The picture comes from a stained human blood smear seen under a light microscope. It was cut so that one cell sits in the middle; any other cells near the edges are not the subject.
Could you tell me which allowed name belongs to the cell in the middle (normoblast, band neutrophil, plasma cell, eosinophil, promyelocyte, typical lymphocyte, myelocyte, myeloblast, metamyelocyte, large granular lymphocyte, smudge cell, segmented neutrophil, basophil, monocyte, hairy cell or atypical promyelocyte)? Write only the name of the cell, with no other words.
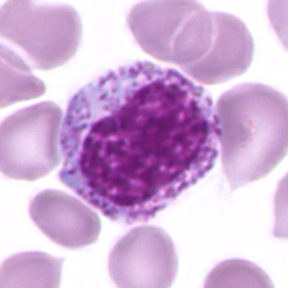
metamyelocyte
